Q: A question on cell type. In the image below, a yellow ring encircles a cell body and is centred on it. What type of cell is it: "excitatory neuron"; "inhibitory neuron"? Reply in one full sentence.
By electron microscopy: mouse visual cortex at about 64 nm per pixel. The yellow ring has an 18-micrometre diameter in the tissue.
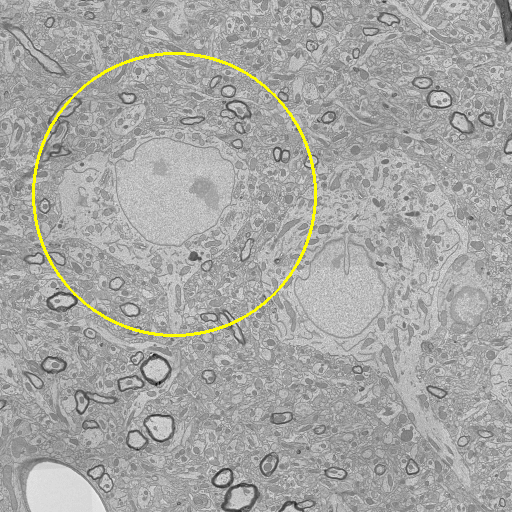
It is an excitatory neuron whose cell body sits at the centre of the yellow ring in the image.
